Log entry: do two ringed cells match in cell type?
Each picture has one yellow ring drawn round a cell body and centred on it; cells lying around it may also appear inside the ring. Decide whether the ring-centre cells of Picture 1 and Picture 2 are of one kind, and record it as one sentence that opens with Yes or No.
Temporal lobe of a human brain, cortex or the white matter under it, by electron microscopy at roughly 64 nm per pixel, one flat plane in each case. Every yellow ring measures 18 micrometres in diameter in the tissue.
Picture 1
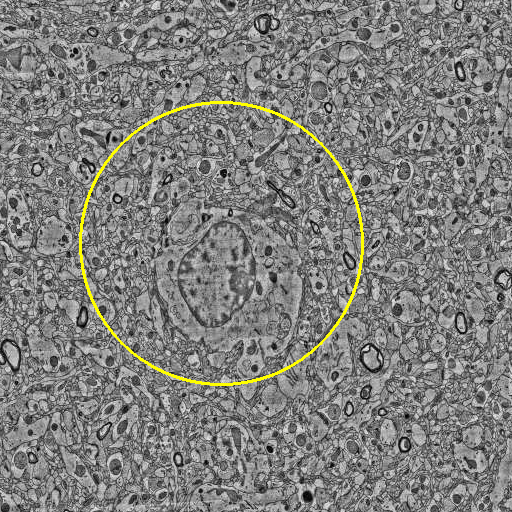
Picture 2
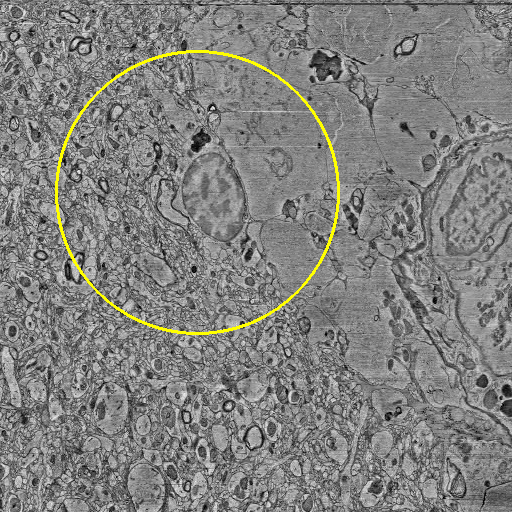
No, the cells at the ring centres of the two pictures belong to two kinds.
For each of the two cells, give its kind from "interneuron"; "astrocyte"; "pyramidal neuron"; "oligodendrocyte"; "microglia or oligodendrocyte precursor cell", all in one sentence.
The first picture has an astrocyte in its ring, the second has an oligodendrocyte.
